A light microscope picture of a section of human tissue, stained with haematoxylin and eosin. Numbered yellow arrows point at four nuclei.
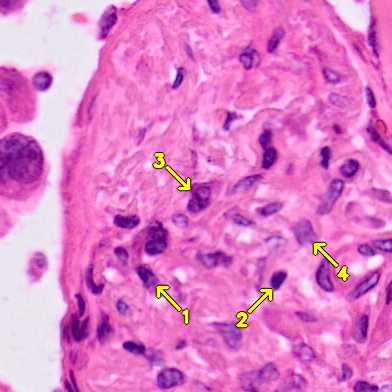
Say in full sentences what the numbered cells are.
Cells 1 and 3 are plasma cells. Cell 2 is a lymphocyte. Cell 4 is a mast cell.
